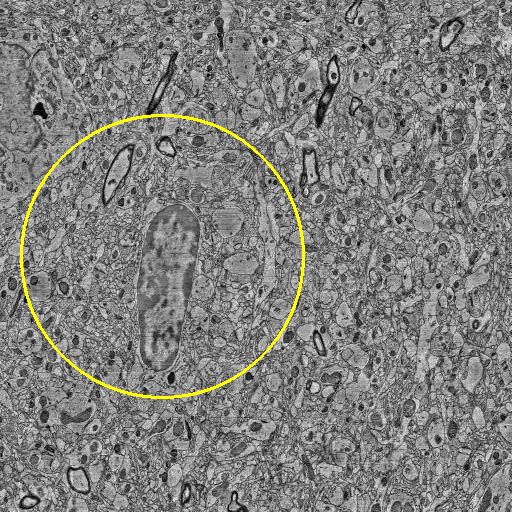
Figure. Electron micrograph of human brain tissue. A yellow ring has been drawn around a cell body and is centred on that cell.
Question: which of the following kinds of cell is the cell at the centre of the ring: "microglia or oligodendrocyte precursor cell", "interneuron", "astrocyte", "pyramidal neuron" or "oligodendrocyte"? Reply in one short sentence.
The cell at the centre of the ring is a microglial cell or oligodendrocyte precursor cell.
